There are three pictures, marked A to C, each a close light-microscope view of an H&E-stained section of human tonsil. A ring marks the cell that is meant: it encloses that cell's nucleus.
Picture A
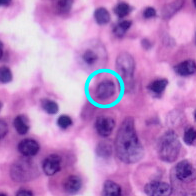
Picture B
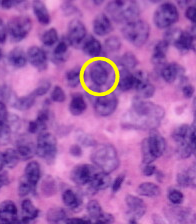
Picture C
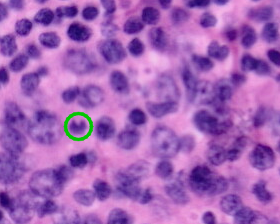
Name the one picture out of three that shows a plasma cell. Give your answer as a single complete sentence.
The plasma cell is the one in picture A.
